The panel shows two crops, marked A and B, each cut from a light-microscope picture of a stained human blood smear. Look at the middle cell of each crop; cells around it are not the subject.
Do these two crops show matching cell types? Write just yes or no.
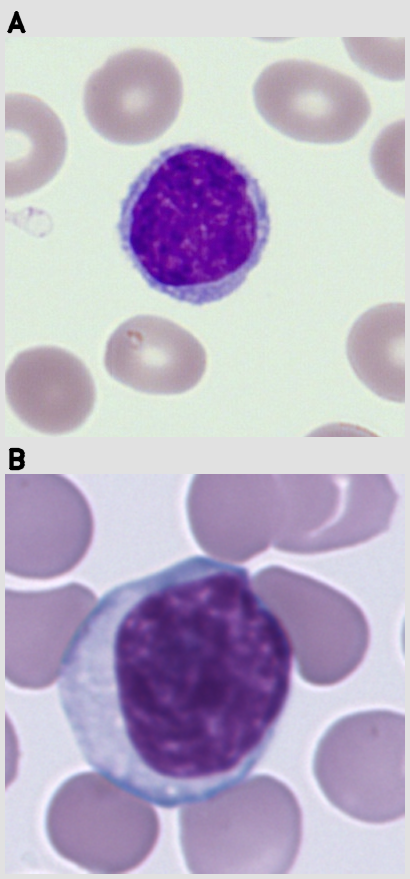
no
